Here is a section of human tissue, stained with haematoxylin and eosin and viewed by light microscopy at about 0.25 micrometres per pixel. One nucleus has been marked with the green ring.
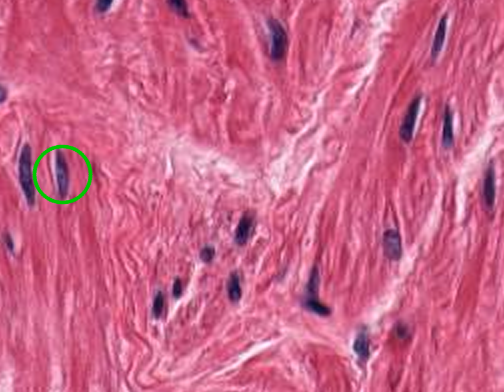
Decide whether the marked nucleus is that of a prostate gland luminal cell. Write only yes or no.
no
